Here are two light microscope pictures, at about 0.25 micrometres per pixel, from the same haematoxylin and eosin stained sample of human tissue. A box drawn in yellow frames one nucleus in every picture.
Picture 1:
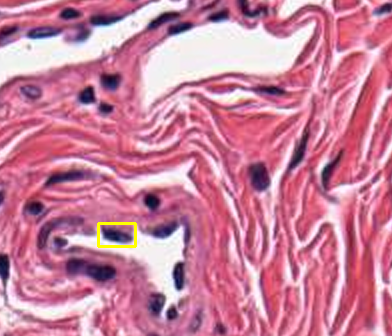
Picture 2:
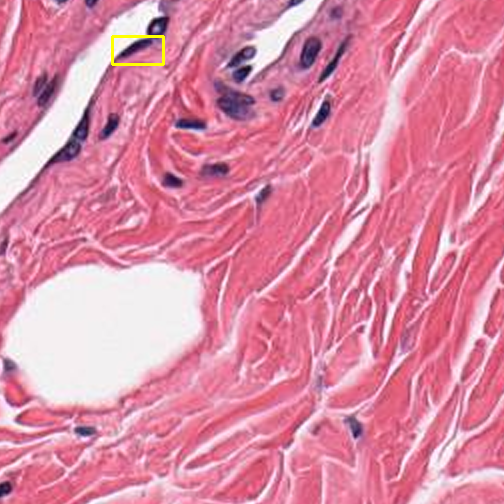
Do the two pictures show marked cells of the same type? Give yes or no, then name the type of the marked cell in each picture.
Yes, both are endothelial cells.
